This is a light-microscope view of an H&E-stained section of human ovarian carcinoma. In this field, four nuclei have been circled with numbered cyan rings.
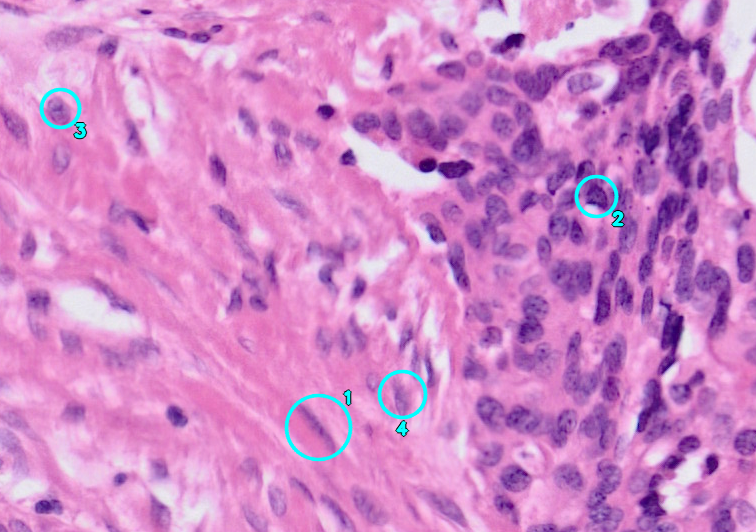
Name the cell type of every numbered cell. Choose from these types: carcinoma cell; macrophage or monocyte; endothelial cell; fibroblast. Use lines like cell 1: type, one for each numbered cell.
cell 1: fibroblast
cell 2: carcinoma cell
cell 3: fibroblast
cell 4: fibroblast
